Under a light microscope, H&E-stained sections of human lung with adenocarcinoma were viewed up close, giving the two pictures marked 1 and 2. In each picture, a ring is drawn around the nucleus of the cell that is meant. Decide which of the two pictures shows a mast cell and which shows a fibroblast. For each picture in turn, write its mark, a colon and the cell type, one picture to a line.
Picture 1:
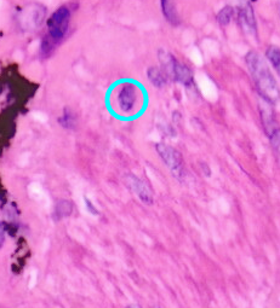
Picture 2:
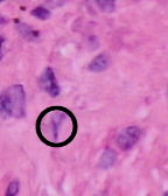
1: mast cell
2: fibroblast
